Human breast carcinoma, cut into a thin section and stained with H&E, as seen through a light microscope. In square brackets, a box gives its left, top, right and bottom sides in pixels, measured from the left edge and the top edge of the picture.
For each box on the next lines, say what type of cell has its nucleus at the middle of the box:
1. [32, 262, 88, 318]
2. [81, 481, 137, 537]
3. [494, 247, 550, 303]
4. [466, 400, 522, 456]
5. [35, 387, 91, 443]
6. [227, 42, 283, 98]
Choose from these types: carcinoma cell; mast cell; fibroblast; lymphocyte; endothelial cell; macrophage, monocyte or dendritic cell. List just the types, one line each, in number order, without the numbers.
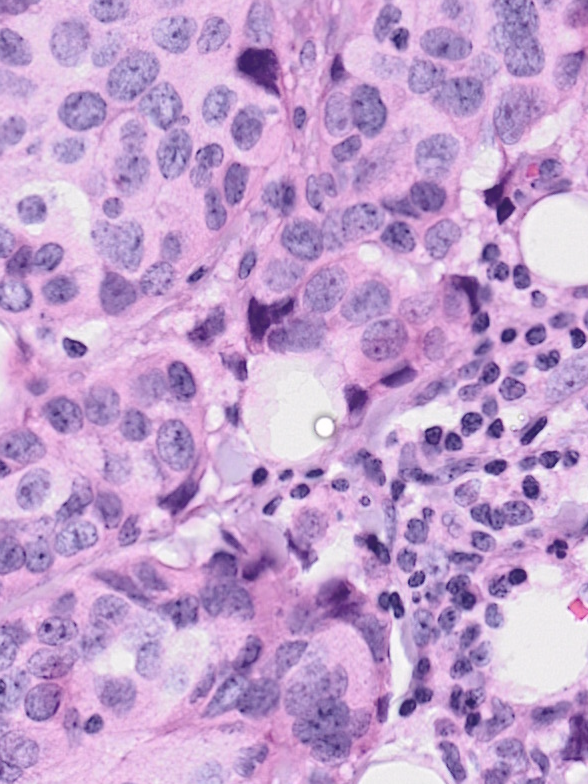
carcinoma cell
carcinoma cell
lymphocyte
lymphocyte
carcinoma cell
carcinoma cell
